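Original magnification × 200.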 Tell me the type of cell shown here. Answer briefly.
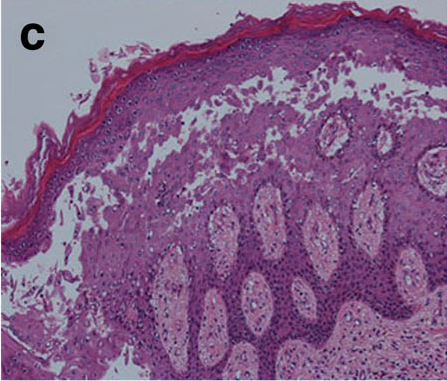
Intraepidermal acantholytic cells.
